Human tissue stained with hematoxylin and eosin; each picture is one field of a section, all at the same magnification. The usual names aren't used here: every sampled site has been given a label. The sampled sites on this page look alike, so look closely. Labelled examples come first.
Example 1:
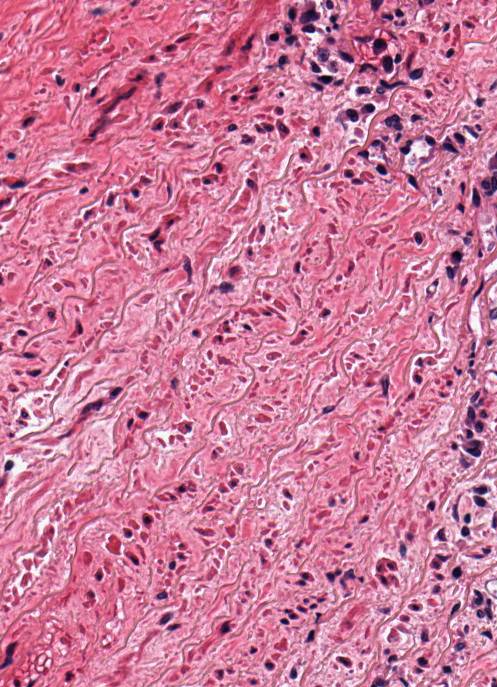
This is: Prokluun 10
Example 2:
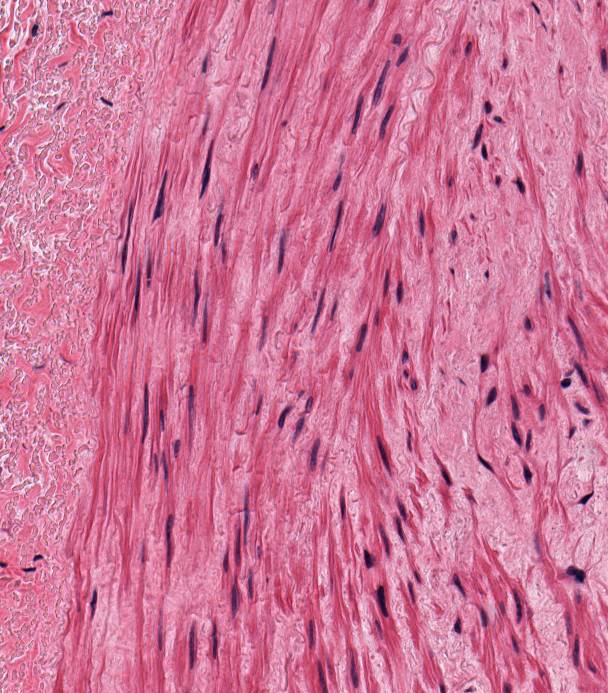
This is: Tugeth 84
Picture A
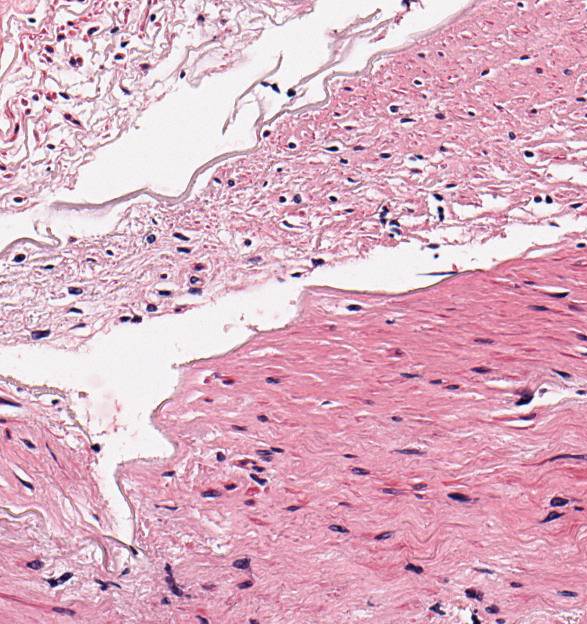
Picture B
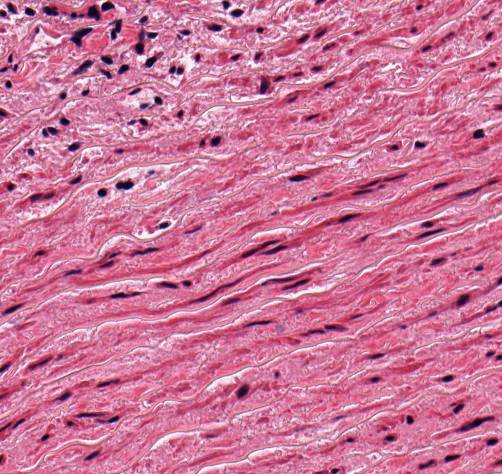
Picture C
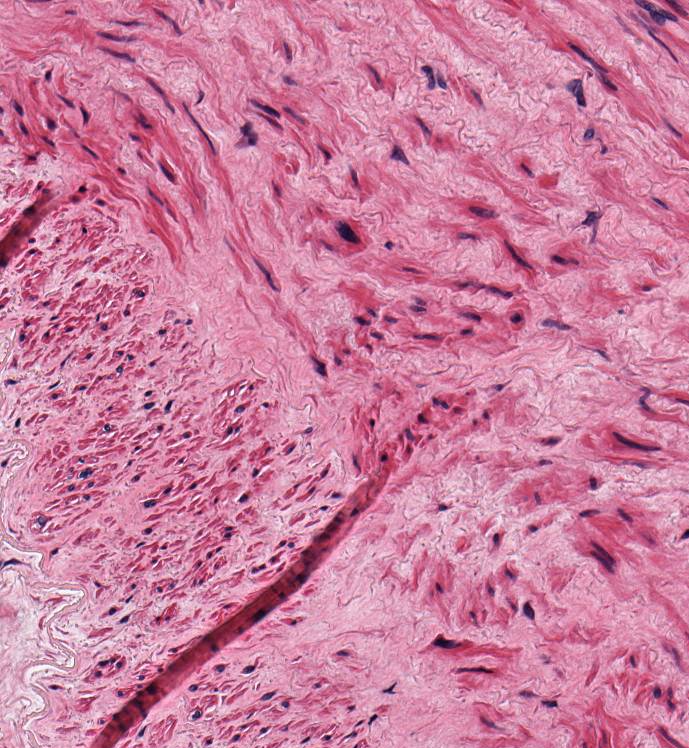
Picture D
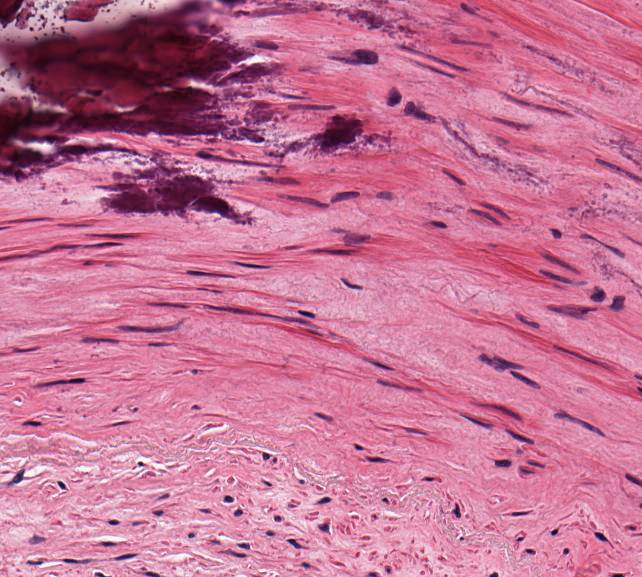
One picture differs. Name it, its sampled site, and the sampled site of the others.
B: Prokluun 10; all the others: Tugeth 84.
